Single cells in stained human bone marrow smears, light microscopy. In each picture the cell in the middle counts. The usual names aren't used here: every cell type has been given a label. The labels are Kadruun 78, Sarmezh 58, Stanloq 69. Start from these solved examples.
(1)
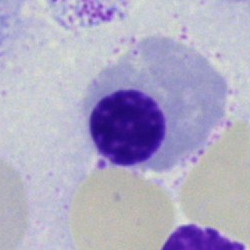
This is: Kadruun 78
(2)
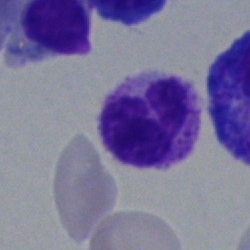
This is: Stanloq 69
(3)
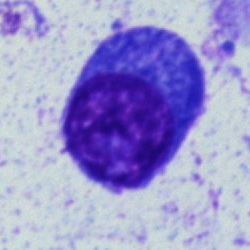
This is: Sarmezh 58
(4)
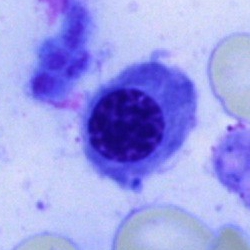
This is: Kadruun 78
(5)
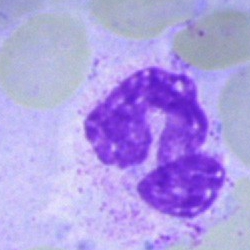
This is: Stanloq 69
